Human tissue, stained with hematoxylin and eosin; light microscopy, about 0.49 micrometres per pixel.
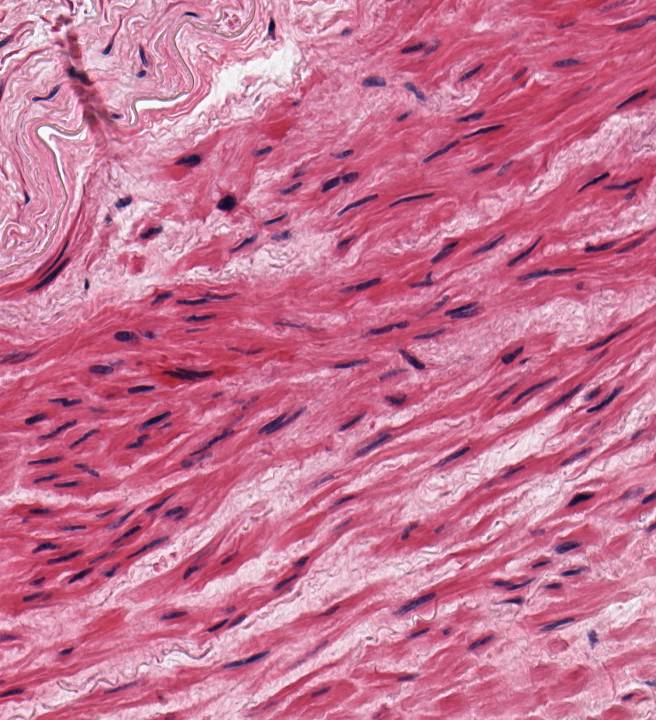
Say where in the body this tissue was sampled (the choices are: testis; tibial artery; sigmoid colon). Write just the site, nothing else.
tibial artery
